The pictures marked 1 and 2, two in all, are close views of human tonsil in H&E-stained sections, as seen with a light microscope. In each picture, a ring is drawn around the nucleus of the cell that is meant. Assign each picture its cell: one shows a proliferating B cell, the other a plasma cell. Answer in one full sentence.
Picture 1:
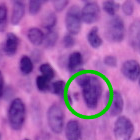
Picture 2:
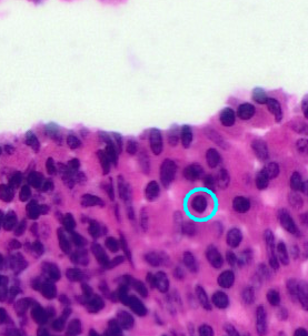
In picture 1 the cell is a proliferating B cell; in picture 2, a plasma cell.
